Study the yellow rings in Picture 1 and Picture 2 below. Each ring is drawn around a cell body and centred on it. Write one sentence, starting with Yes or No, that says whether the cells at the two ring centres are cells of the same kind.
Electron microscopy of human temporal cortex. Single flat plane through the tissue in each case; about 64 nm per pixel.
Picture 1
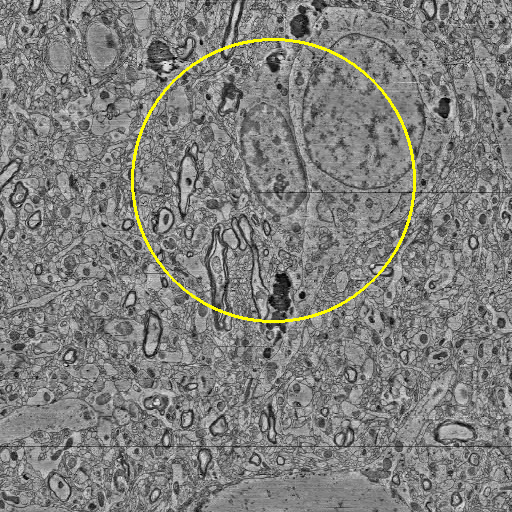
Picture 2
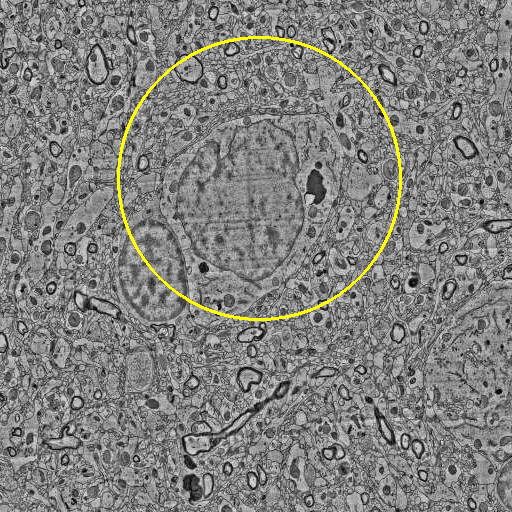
No, the cells at the ring centres are of two kinds.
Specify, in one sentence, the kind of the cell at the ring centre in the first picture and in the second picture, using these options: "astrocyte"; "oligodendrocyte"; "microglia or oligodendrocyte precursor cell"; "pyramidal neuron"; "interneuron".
So the first is an oligodendrocyte, the second an interneuron.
